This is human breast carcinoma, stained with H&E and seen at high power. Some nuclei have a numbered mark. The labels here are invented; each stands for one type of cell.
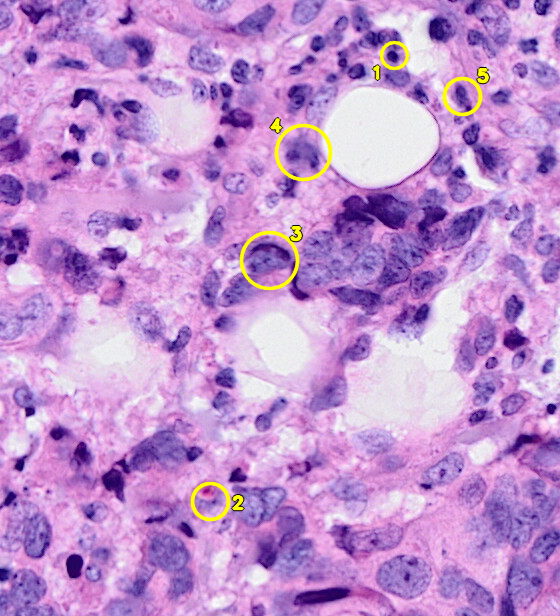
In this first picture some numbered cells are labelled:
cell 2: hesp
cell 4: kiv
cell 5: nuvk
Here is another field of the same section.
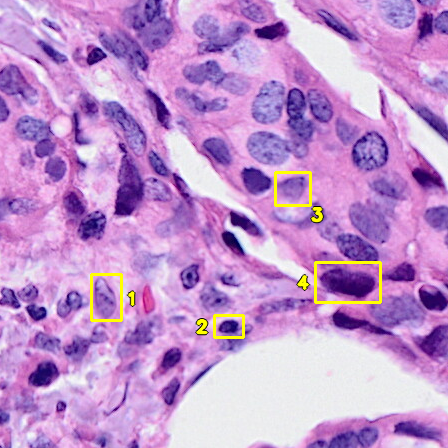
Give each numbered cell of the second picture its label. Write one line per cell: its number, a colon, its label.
1: hesp
2: nuvk
3: kiv
4: kiv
